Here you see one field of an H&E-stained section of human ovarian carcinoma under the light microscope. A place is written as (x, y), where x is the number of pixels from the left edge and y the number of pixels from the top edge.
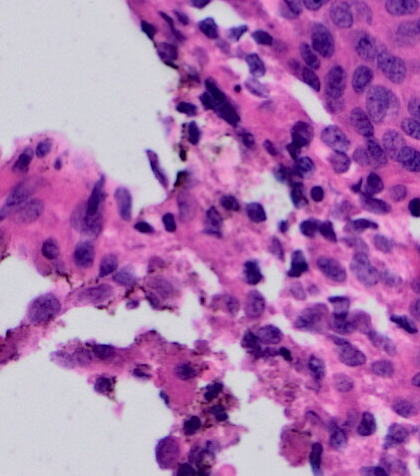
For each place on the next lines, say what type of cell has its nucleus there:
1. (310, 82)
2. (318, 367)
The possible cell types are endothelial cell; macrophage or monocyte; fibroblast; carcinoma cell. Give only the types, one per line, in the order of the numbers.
carcinoma cell
macrophage or monocyte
